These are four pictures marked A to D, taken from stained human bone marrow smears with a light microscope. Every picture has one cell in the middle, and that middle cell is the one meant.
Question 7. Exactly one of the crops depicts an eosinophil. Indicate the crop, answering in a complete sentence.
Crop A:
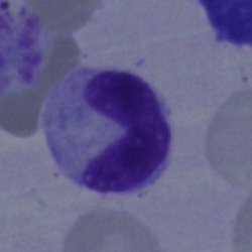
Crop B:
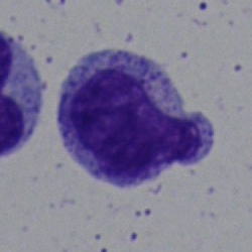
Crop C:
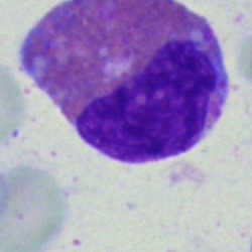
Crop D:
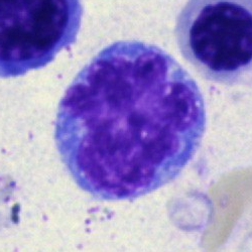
Identified crop: C, the one that shows an eosinophil.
